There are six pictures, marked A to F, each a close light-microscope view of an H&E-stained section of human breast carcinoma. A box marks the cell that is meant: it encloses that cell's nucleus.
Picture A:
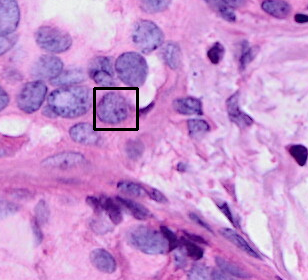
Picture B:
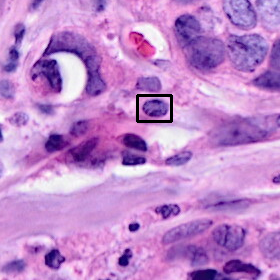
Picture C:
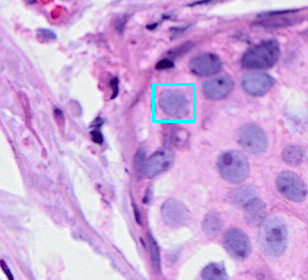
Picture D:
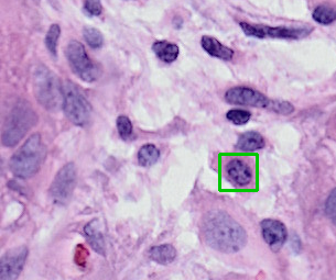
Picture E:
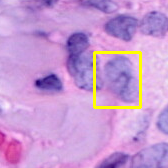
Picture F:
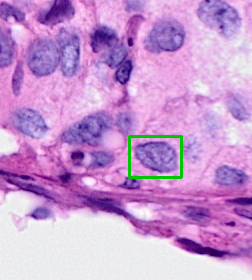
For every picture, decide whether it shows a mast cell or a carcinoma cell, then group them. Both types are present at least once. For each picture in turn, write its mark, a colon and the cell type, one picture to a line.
A: carcinoma cell
B: mast cell
C: carcinoma cell
D: mast cell
E: carcinoma cell
F: carcinoma cell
